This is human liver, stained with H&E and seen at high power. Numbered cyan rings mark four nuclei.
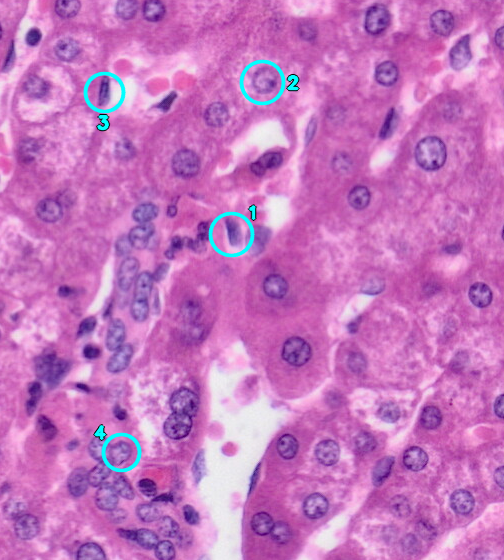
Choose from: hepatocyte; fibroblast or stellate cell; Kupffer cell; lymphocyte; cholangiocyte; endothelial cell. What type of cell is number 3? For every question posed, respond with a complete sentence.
The cell pointed out by number 3 is an endothelial cell.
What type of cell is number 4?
Among the marked cells, number 4 is a cholangiocyte.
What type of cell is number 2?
The cell marked with the number 2 is a hepatocyte.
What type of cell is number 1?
Within this field of view, the cell labelled 1 is a fibroblast or stellate cell.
